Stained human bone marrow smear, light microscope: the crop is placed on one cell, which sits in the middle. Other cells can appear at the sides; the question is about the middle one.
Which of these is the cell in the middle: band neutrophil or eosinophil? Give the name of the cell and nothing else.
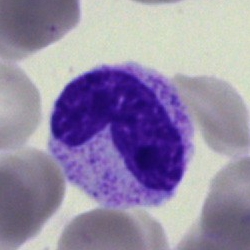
band neutrophil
